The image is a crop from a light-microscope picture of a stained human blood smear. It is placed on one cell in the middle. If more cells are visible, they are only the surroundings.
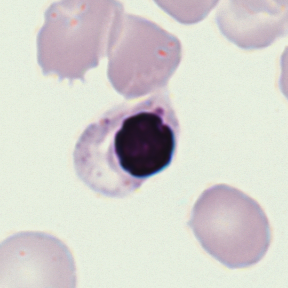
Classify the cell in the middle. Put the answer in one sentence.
The cell that lies at the centre of the crop is a normoblast.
